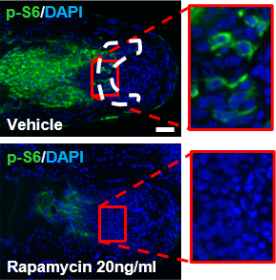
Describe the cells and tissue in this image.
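Two fluorescence images of hair follicle bulbs in longitudinal section, each with an enlarged inset. Blue nuclei crowd the bulb epithelium. In the upper image a broad band of bright green fills much of the upper part of the bulb, and the inset shows the green lying around the blue nuclei, outlining individual cells in their cytoplasm. In the lower image the green is faint and patchy, confined to a few streaks, and its inset shows tightly packed blue nuclei with almost no surrounding green.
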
